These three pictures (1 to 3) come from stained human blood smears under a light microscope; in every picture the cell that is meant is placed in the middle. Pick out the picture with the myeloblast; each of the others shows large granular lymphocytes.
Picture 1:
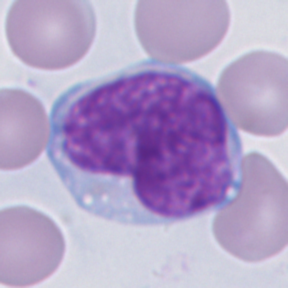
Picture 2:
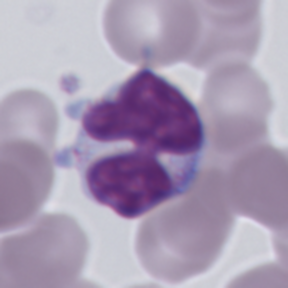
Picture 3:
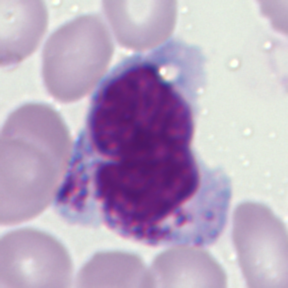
1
